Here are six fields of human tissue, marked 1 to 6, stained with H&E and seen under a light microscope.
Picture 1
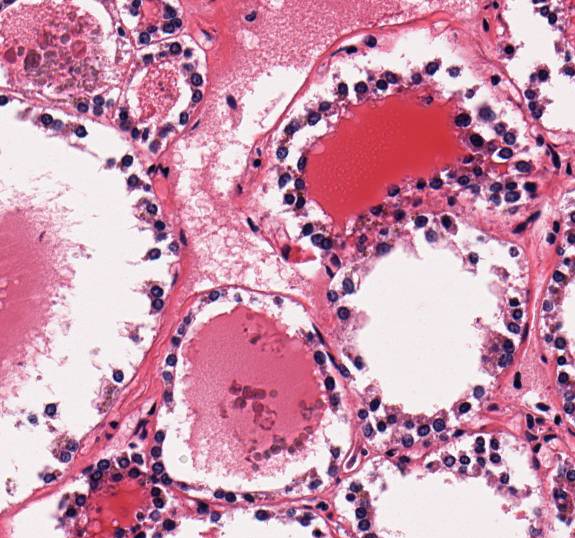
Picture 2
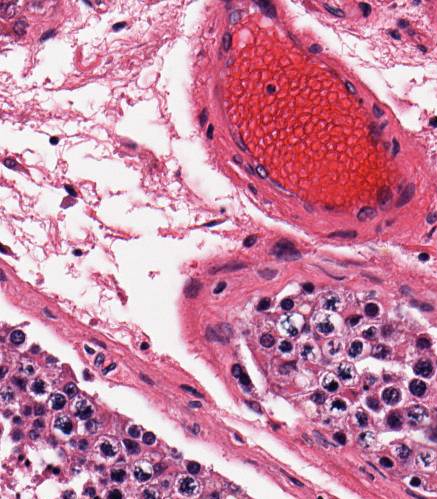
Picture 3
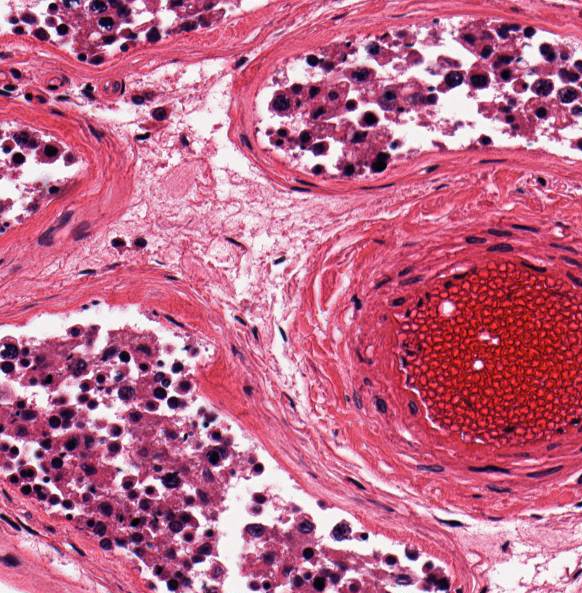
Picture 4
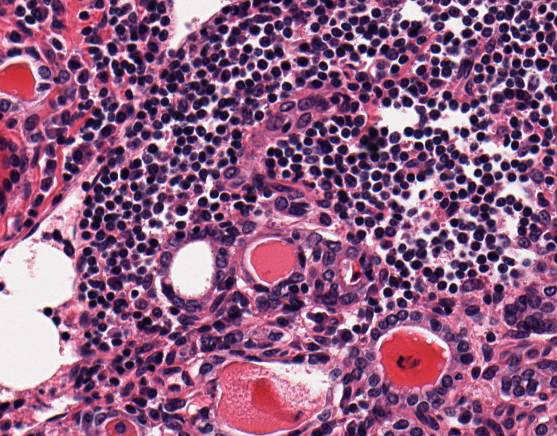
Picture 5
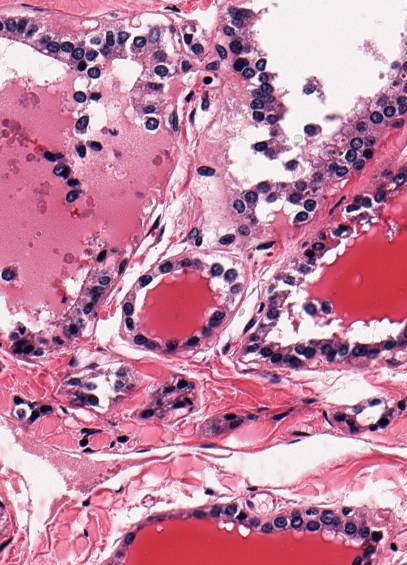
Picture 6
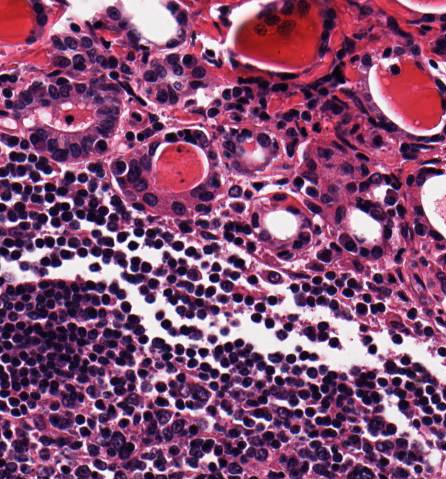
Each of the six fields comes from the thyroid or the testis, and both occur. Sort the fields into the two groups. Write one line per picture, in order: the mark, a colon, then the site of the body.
1: thyroid
2: testis
3: testis
4: thyroid
5: thyroid
6: thyroid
